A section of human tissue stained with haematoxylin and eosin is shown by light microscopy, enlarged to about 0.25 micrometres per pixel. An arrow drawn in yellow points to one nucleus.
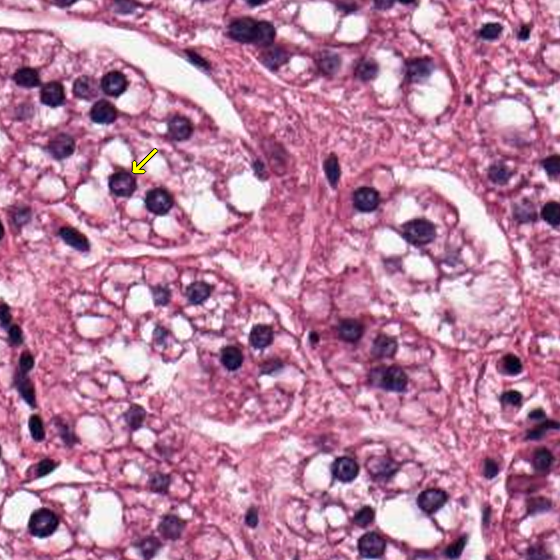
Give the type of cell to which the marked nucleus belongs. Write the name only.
adrenal cortical cell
